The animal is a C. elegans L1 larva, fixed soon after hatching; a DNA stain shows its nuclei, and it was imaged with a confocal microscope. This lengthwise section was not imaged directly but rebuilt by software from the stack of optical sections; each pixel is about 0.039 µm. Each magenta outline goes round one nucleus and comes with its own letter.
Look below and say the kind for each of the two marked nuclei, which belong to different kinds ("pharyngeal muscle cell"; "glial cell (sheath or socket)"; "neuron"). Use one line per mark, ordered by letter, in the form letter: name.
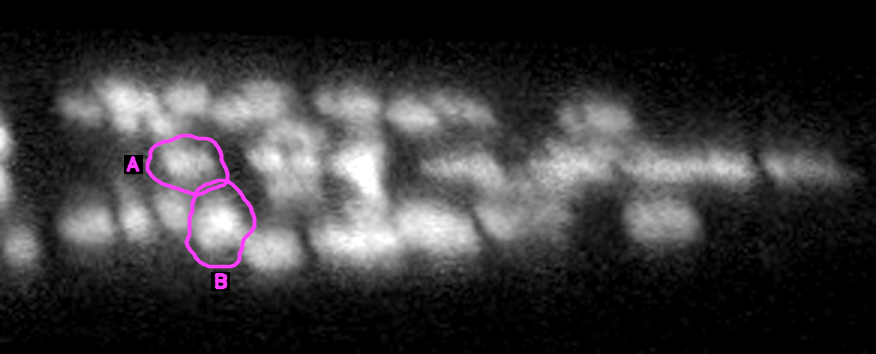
A: neuron
B: glial cell (sheath or socket)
